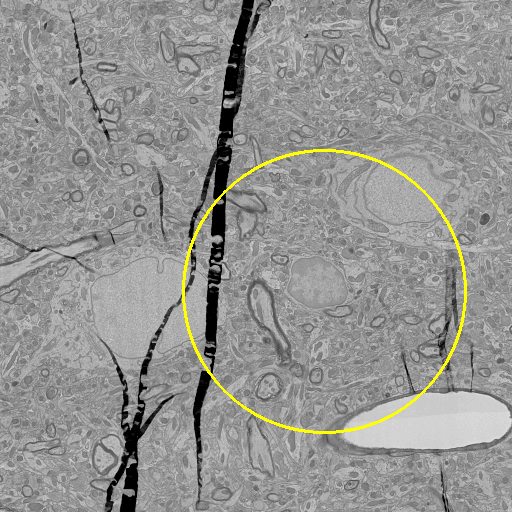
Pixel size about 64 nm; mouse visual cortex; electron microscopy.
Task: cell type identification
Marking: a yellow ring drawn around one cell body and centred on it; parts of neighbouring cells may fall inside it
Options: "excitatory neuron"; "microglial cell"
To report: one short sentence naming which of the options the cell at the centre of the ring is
The cell at the centre of the ring is a microglial cell.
